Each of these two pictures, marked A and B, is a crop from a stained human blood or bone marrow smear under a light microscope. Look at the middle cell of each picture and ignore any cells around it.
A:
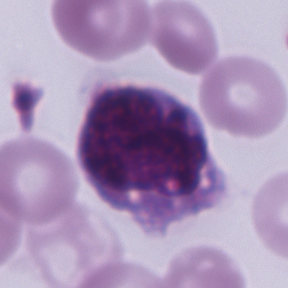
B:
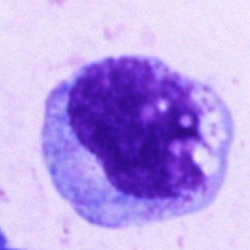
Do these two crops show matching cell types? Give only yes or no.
yes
